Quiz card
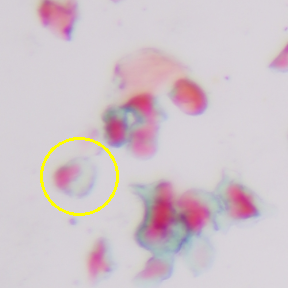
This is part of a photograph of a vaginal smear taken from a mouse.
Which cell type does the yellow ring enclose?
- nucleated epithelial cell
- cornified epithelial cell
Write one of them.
nucleated epithelial cell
